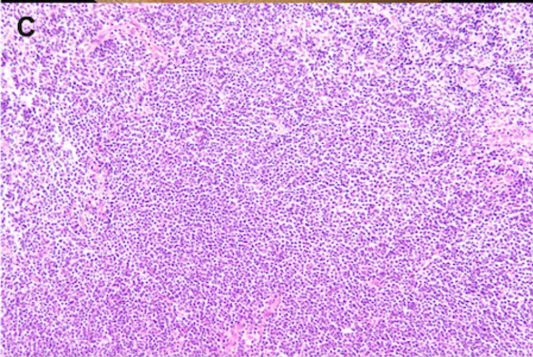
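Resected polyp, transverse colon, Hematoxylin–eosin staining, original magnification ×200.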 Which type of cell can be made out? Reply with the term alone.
small abnormal lymphocytes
